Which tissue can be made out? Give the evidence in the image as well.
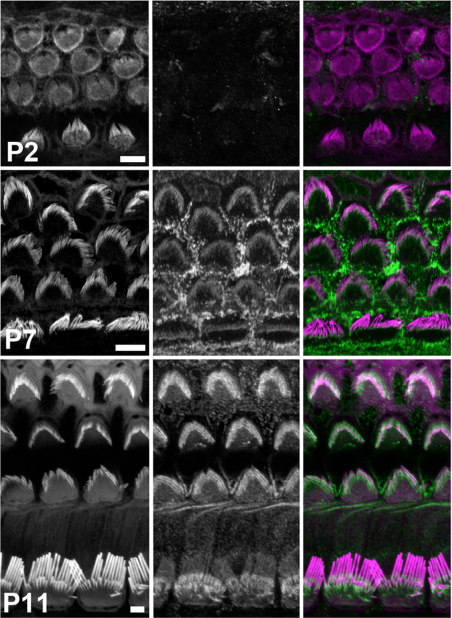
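Organ of Corti. Three rows of hair cells with V-shaped bundles above a single row of hair cells with straighter bundles. Regular mosaic of cell apices seen from above.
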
